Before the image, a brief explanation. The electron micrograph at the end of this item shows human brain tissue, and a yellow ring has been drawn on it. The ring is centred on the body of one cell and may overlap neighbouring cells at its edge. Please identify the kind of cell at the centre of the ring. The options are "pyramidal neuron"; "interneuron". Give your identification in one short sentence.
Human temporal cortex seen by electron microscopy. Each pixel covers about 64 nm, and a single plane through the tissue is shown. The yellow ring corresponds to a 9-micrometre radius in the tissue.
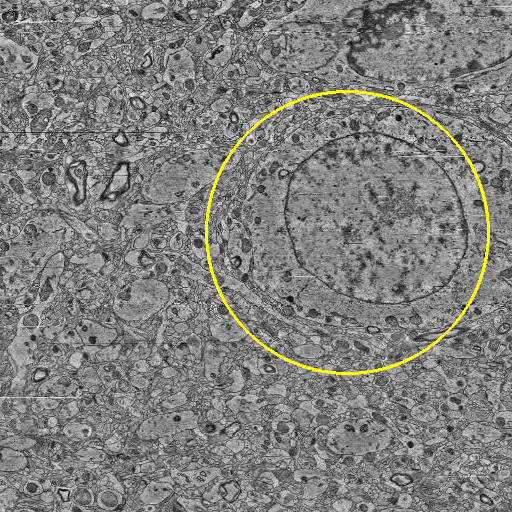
The ring has been placed around a pyramidal neuron.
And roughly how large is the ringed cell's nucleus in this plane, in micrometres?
Roughly 13 by 11 micrometres is the size of the nucleus in this plane.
